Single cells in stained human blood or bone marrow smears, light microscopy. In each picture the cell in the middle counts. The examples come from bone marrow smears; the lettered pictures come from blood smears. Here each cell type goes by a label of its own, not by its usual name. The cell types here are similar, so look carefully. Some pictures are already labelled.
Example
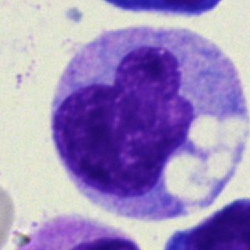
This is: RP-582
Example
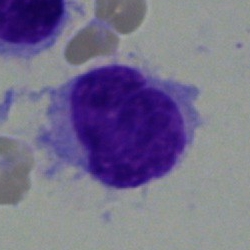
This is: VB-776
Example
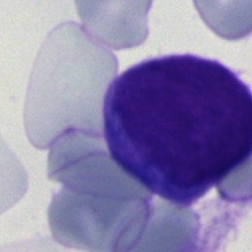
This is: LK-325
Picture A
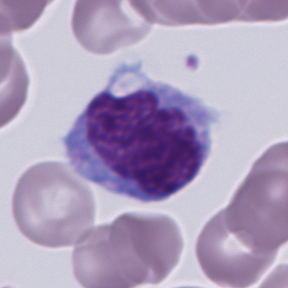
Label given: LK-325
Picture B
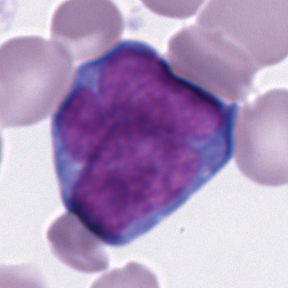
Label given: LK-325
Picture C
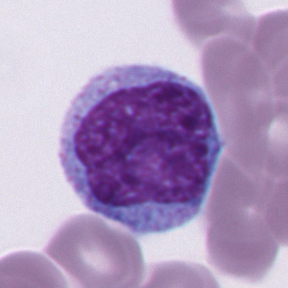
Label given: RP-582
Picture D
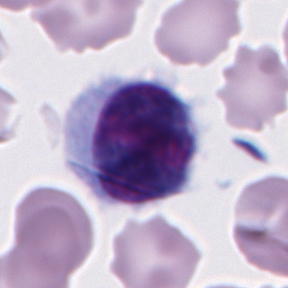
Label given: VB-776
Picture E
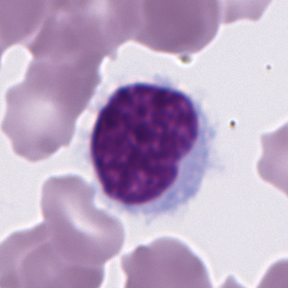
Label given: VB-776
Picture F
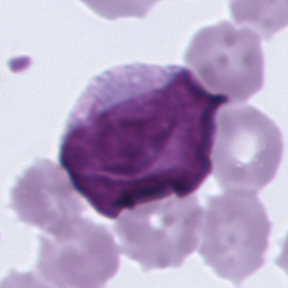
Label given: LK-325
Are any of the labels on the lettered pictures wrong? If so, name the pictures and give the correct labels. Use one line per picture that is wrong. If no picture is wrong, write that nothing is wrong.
Wrong: A (LK-325); correct: RP-582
